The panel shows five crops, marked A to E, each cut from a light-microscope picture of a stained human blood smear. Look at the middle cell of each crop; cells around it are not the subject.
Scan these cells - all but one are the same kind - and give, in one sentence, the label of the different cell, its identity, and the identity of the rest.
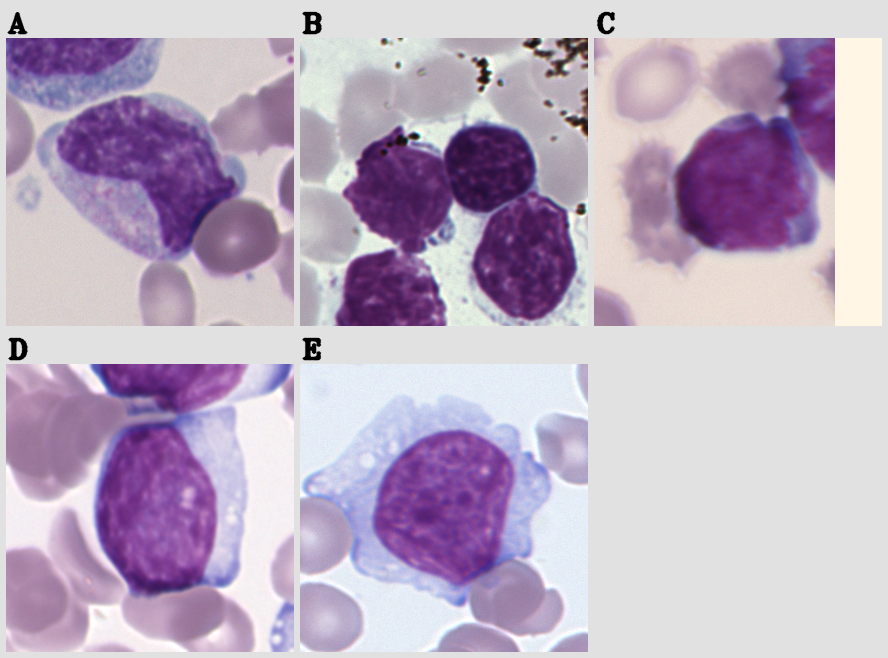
The single exception among the crops is crop A, which is a promyelocyte; the rest show blasts.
